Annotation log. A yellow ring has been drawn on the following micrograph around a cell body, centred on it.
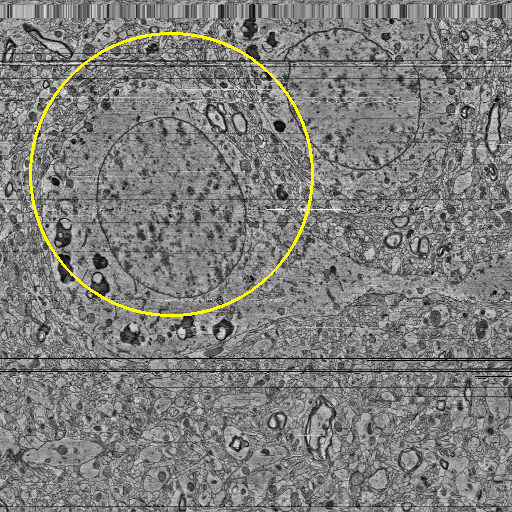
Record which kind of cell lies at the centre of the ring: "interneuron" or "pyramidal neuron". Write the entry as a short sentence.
The cell the ring is centred on is a pyramidal neuron.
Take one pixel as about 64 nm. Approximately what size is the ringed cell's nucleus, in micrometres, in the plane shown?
Roughly 12 by 9 micrometres in this plane, for the nucleus of the ringed cell.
